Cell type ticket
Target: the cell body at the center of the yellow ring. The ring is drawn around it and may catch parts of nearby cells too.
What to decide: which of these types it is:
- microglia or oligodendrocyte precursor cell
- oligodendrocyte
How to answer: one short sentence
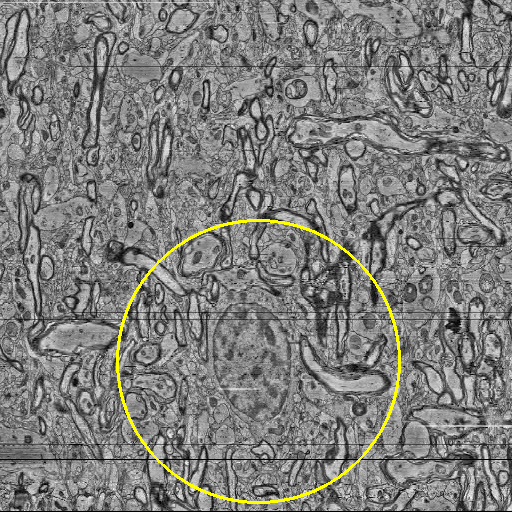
The cell at the center of the ring is an oligodendrocyte.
